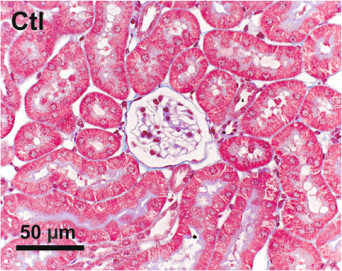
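This is kidney cortex with a single glomerulus surrounded by closely packed tubules. The glomerulus shows delicate capillary loops with scattered purple nuclei and only faint pale blue material, set within a clear space under a thin capsule. The tubules are lined by cells with bright red cytoplasm and round nuclei, with open lumens. The tubules lie close together with hardly any blue tissue between them.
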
